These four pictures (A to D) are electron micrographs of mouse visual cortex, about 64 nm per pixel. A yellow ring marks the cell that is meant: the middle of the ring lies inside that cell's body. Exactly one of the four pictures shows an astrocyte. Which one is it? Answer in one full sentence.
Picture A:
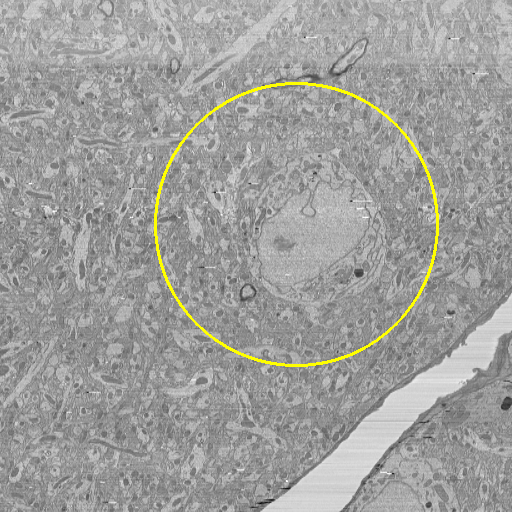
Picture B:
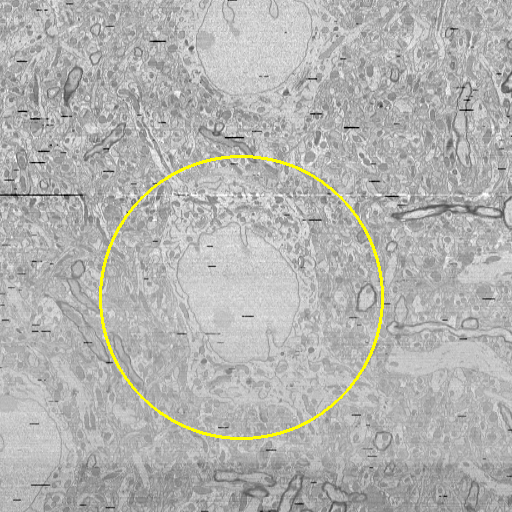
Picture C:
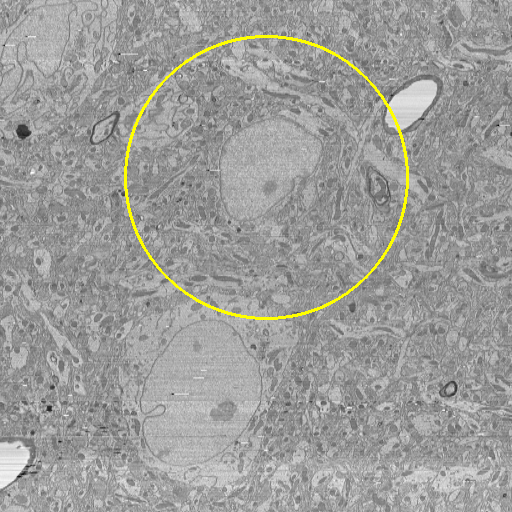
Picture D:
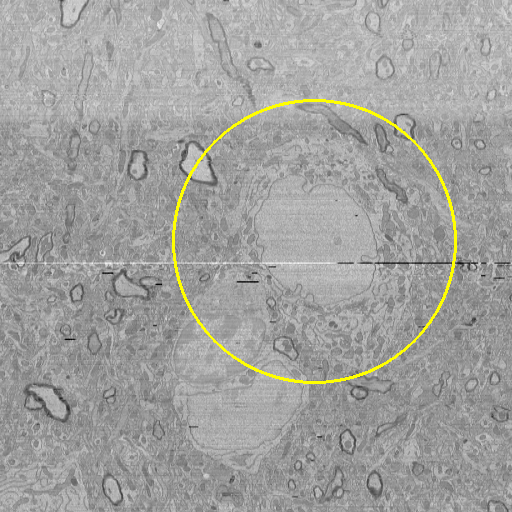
The cell in picture C is the astrocyte.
